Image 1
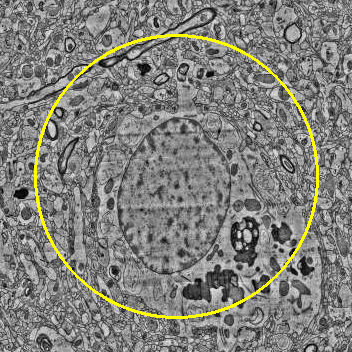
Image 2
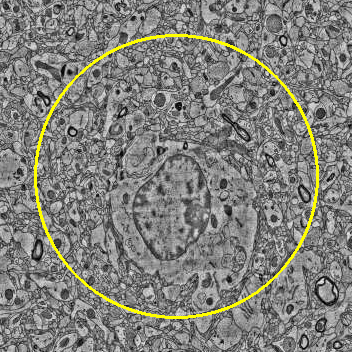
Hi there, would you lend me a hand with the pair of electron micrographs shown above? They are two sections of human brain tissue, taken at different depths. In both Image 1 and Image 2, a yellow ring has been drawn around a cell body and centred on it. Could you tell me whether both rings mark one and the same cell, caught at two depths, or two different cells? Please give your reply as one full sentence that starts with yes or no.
Yes, a single cell is the subject of both yellow rings.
